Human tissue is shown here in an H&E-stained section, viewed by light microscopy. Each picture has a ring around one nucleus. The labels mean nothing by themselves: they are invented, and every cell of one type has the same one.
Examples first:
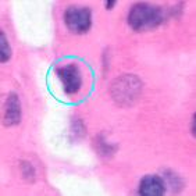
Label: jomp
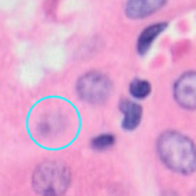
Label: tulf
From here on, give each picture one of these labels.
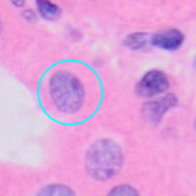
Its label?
jomp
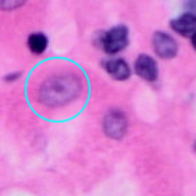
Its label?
tulf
